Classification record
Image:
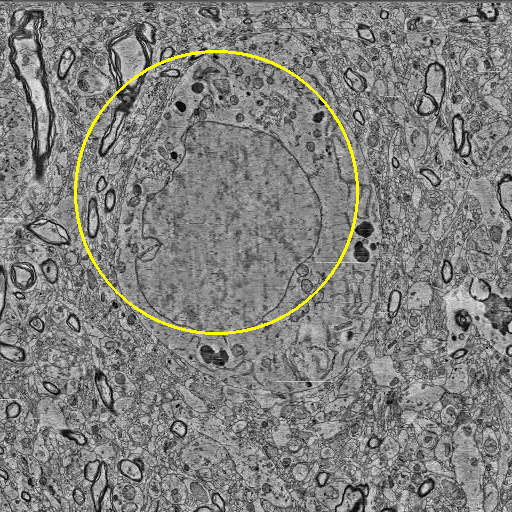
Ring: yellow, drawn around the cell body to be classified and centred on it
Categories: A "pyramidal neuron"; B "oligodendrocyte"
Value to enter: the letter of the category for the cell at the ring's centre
A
